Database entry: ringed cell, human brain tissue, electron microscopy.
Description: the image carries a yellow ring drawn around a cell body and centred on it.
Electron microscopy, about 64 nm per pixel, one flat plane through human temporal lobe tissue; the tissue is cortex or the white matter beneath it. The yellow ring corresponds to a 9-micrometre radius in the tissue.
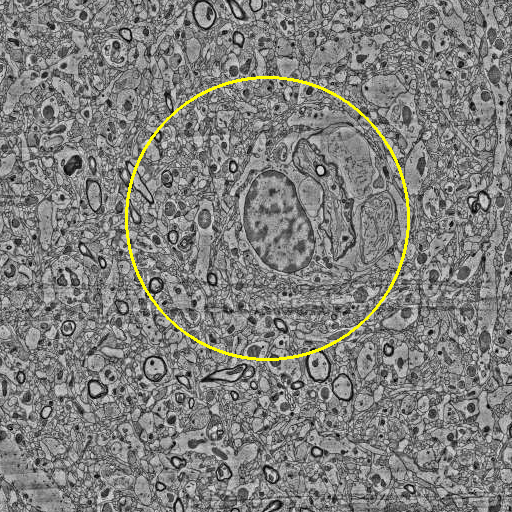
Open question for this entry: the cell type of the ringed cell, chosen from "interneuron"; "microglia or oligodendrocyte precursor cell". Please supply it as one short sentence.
The ringed cell is a microglial cell or oligodendrocyte precursor cell.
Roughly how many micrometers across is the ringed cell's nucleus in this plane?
Roughly 7 micrometres by 4 micrometres, so the nucleus is clearly longer than it is wide in this plane.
